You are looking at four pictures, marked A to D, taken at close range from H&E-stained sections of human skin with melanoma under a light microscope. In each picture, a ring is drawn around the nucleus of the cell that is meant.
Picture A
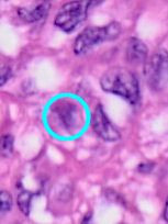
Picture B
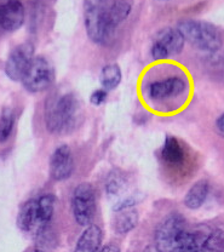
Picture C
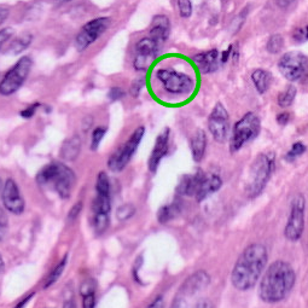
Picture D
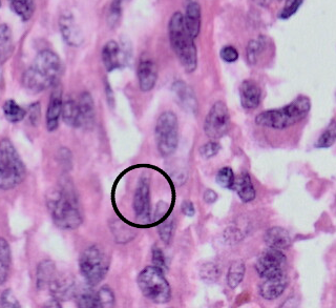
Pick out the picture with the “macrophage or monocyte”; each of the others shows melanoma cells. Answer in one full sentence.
It is picture B that shows the “macrophage or monocyte”.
